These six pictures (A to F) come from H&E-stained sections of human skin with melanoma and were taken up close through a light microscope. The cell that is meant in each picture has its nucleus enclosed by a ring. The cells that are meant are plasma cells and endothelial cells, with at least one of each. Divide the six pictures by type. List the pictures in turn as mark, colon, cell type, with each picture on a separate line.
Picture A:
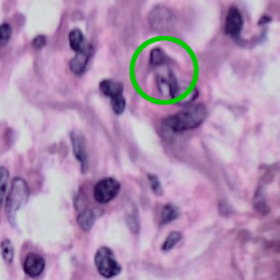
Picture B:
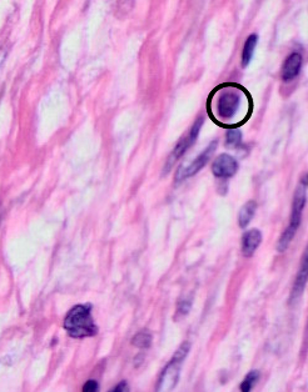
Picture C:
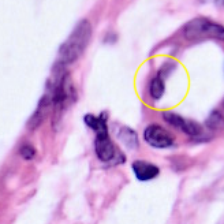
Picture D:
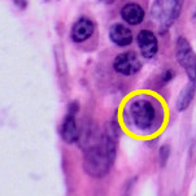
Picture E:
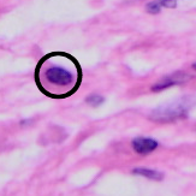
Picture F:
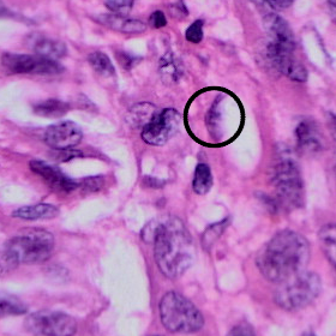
A: endothelial cell
B: plasma cell
C: endothelial cell
D: plasma cell
E: plasma cell
F: endothelial cell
